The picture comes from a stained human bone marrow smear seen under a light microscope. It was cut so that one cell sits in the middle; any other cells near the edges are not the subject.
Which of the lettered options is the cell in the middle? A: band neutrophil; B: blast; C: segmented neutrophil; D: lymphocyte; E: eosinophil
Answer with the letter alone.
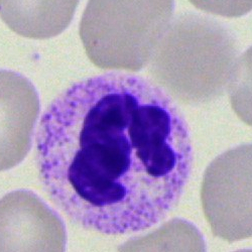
C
